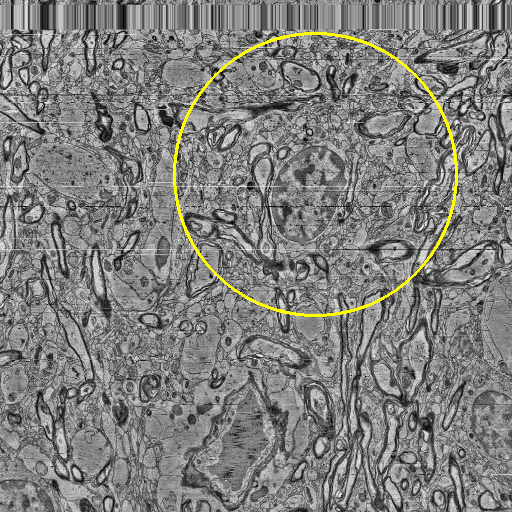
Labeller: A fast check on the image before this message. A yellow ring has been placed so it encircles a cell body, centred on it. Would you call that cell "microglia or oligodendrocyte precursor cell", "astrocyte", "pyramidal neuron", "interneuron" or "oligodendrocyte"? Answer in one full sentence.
In this image, a microglial cell or oligodendrocyte precursor cell is the cell on which the yellow ring is centred.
